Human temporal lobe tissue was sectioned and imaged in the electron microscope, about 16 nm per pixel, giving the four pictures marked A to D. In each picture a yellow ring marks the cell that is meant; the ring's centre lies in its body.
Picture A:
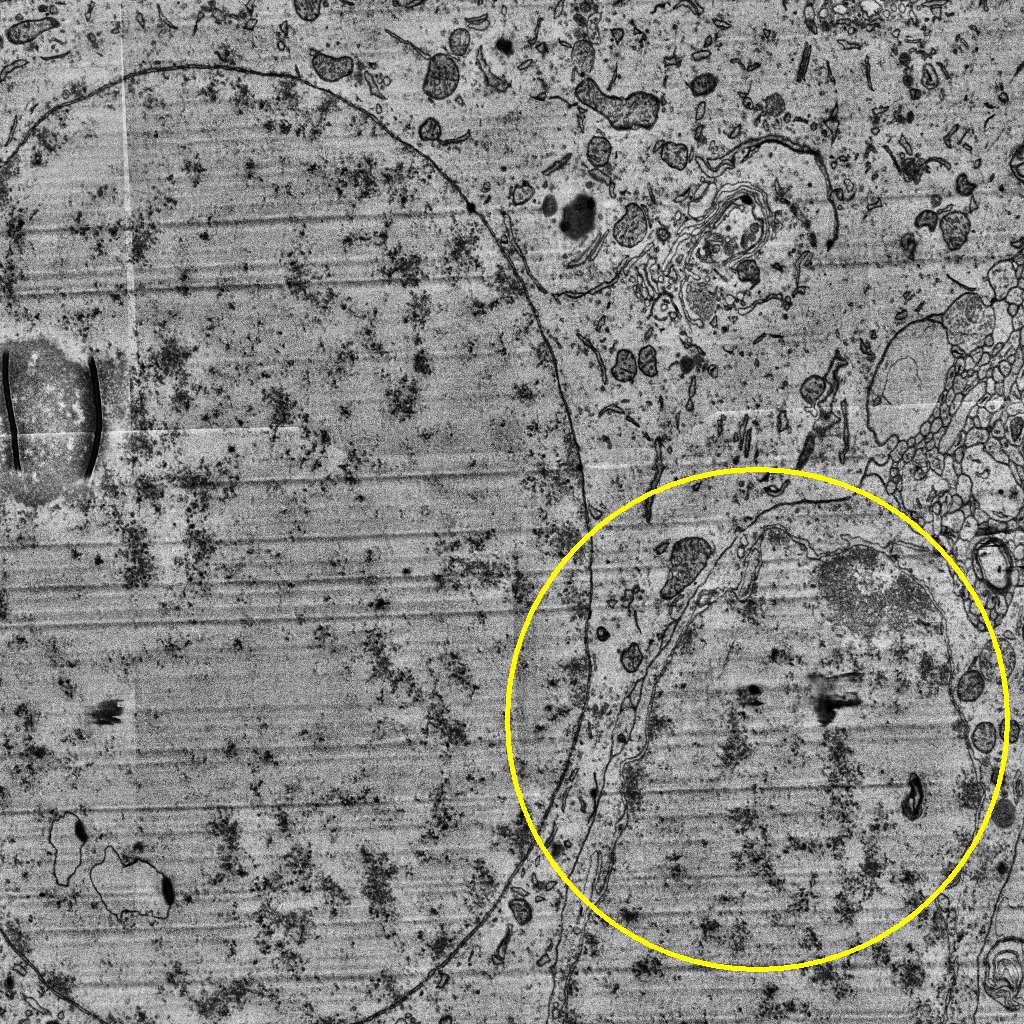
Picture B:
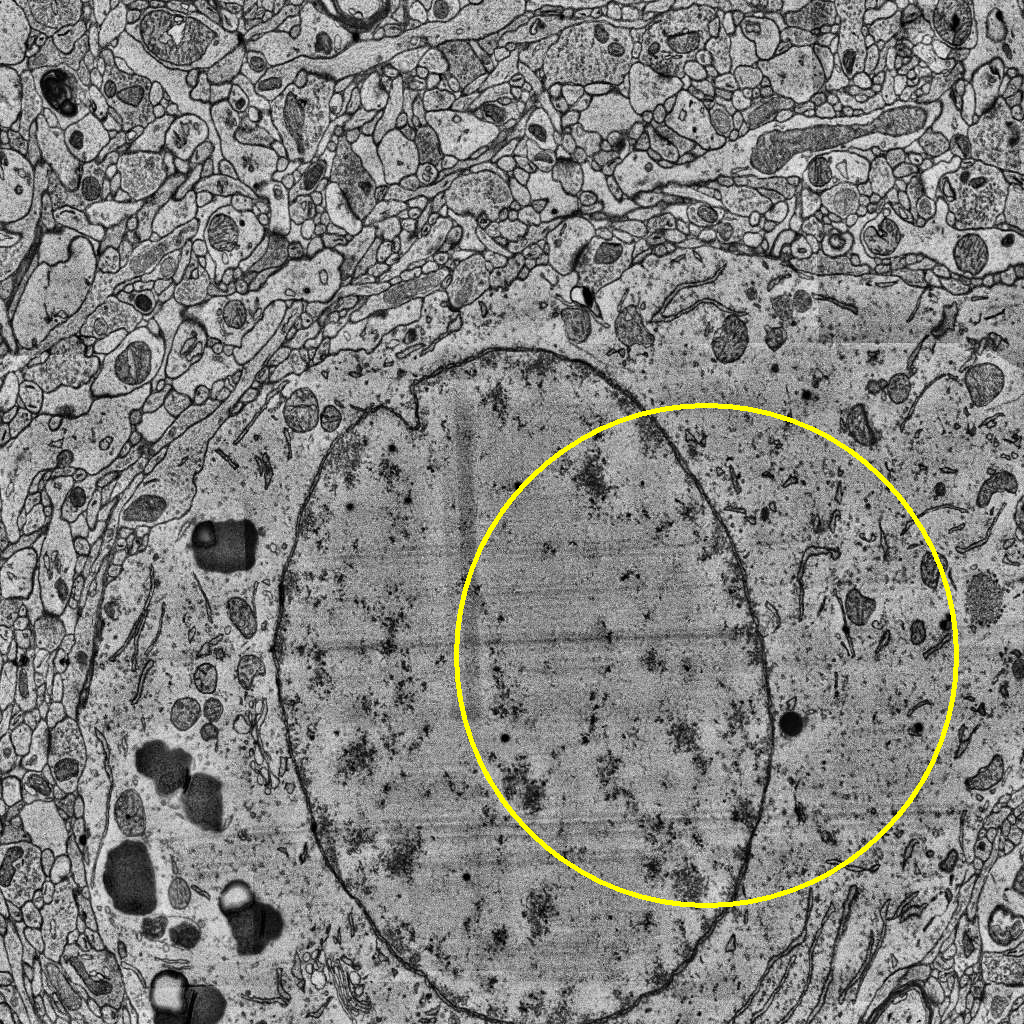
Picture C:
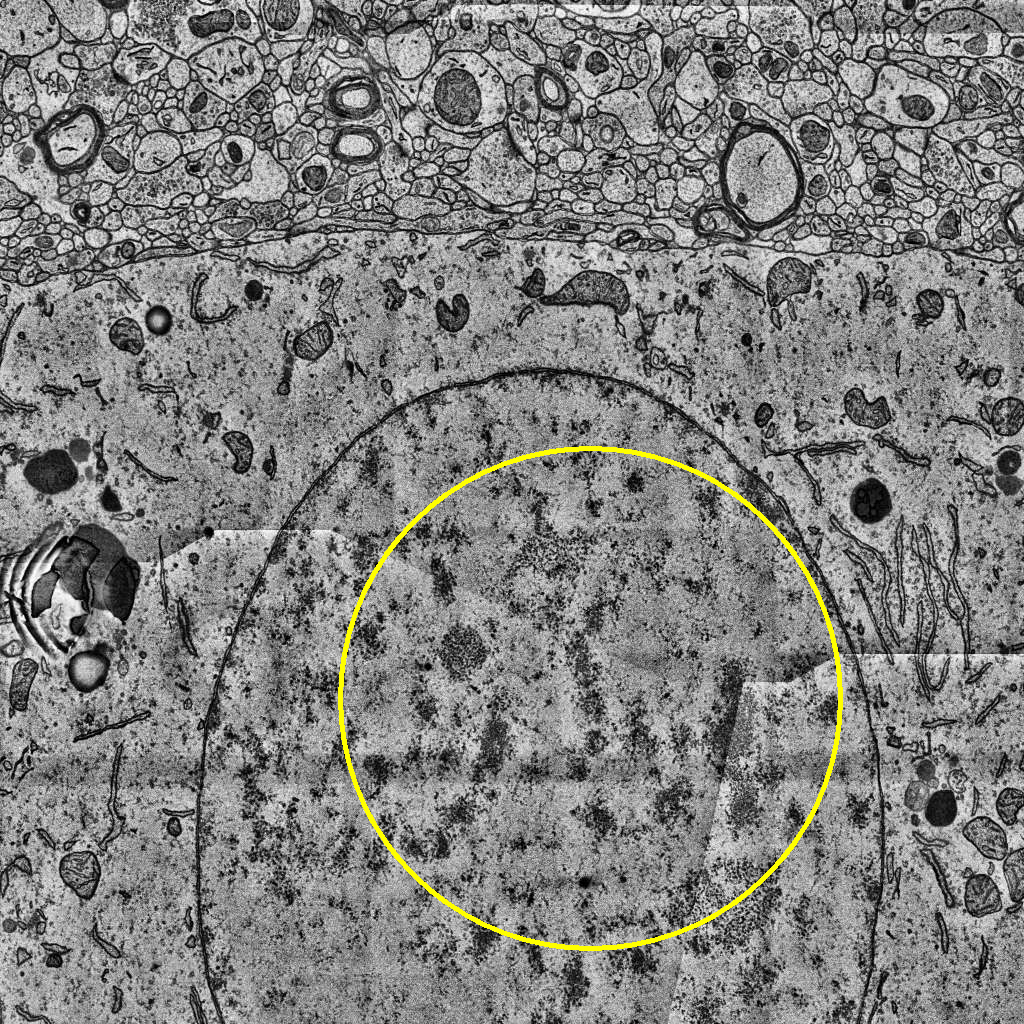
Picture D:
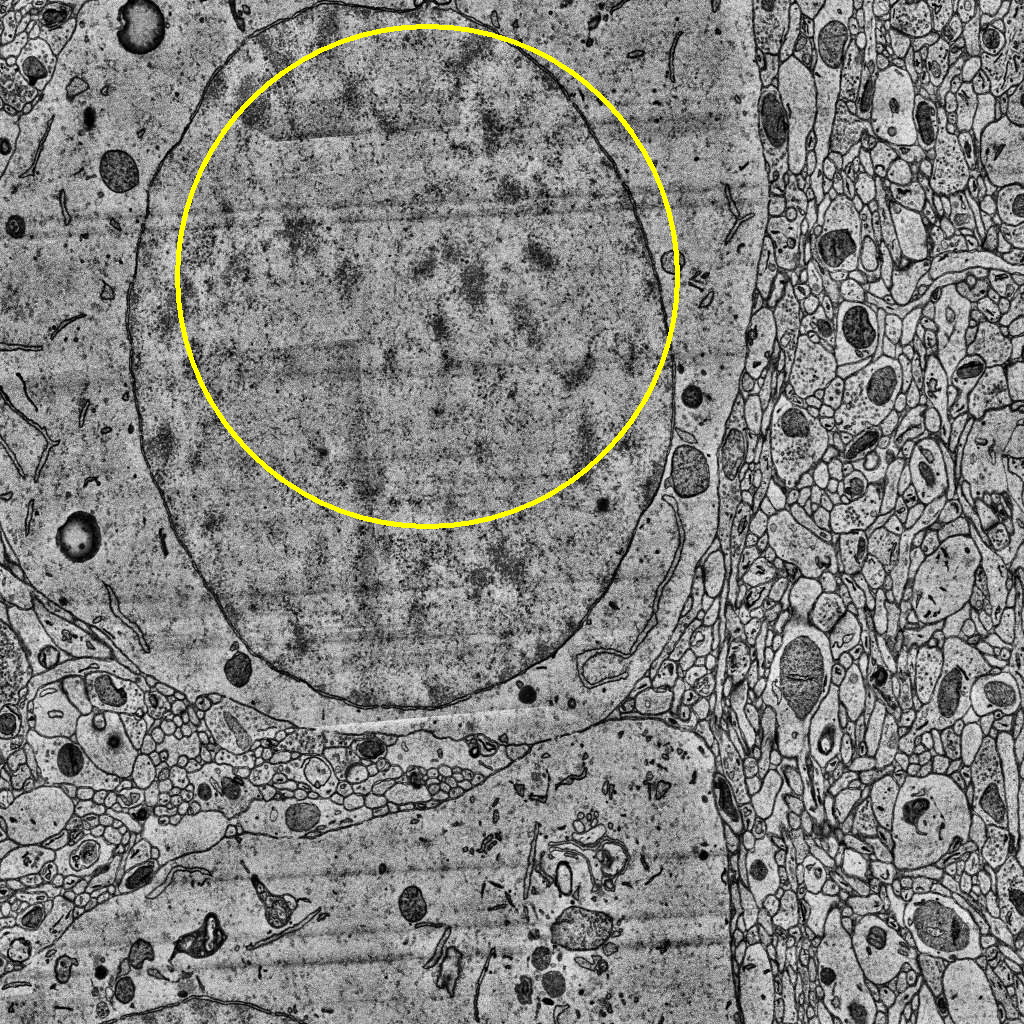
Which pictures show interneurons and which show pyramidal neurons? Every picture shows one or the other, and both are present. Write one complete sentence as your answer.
Picture A shows an interneuron, and pictures B, C and D show pyramidal neurons.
